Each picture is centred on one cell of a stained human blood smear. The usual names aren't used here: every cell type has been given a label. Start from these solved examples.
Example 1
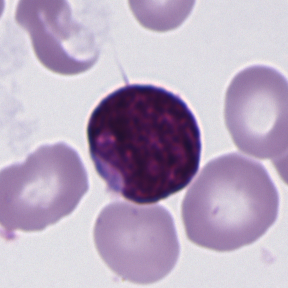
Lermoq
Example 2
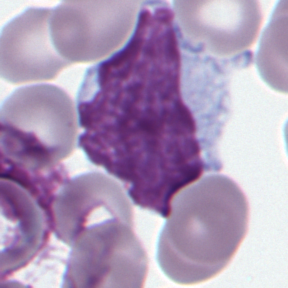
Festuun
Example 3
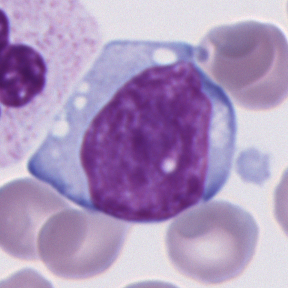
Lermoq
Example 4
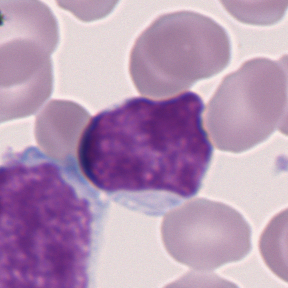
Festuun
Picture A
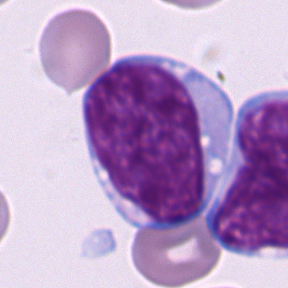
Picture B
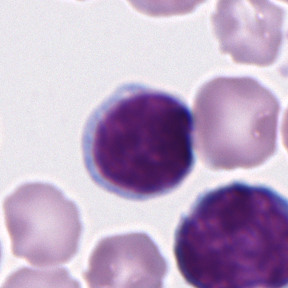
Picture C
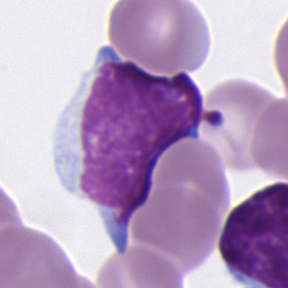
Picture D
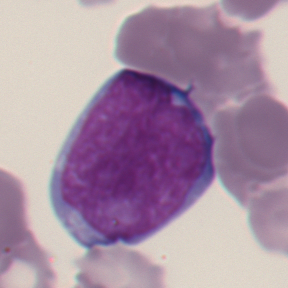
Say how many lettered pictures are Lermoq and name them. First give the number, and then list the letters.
Count: 2 (A, D)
